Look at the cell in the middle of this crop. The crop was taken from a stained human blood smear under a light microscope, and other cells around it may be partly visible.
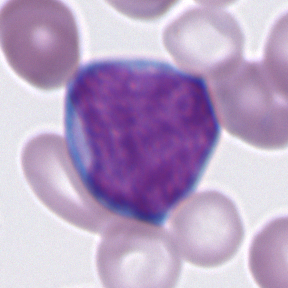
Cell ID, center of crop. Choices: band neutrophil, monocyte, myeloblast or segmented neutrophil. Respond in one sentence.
The center cell of this crop is a myeloblast.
